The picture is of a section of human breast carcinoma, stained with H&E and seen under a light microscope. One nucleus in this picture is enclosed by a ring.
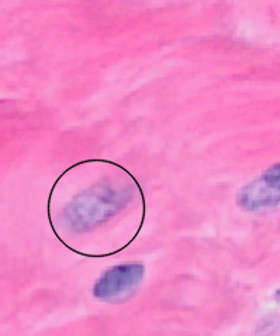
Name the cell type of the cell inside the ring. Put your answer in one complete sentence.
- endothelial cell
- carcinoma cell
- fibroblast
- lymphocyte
Typologically, the cell inside the ring is a fibroblast in this section.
